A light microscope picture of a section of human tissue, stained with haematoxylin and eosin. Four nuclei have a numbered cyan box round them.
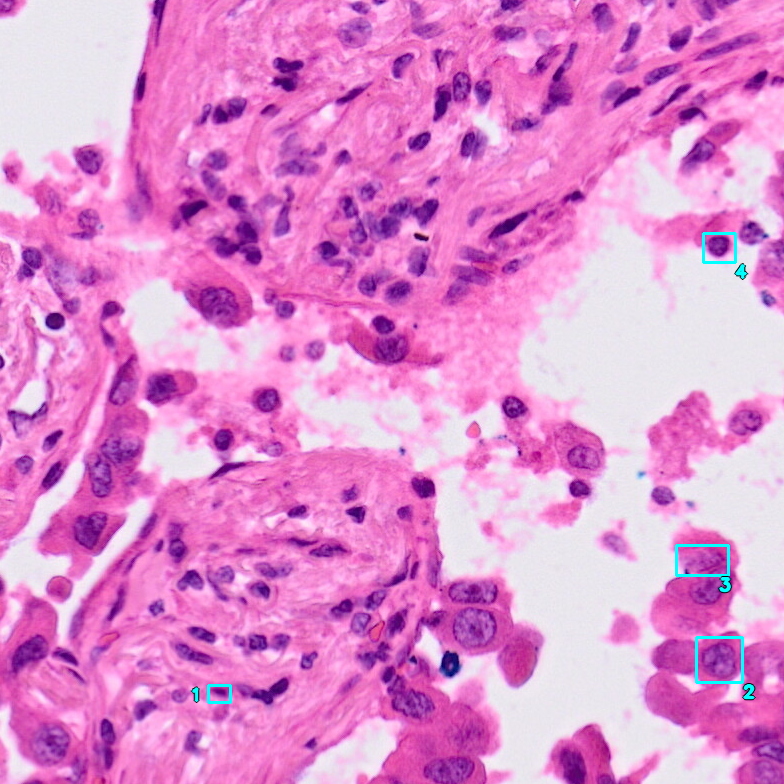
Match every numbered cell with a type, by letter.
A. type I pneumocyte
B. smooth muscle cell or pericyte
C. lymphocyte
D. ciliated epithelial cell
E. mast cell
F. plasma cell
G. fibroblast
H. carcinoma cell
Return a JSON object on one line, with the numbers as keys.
{"1": "F", "2": "H", "3": "H", "4": "C"}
